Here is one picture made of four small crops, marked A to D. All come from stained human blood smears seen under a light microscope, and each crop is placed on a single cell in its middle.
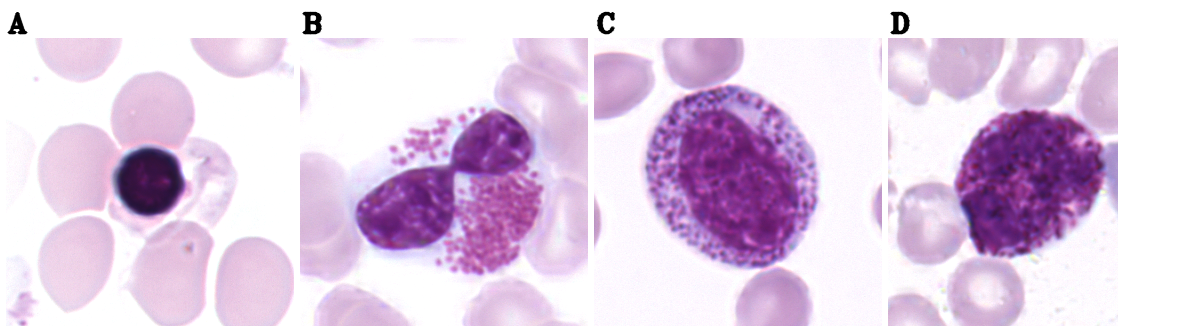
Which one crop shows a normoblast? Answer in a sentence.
The crop carrying a normoblast at the center is crop A.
